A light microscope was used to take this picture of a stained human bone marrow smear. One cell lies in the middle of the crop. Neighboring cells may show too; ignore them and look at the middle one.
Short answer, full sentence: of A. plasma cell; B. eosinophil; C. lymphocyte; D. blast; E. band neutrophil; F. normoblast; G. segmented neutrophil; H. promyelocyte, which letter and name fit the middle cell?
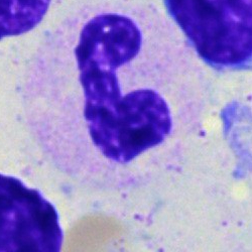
The cell occupying the centre is a band neutrophil; option E is thus the correct choice.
